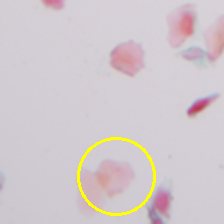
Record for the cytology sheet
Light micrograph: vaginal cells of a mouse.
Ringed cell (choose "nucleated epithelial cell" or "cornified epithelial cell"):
cornified epithelial cell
